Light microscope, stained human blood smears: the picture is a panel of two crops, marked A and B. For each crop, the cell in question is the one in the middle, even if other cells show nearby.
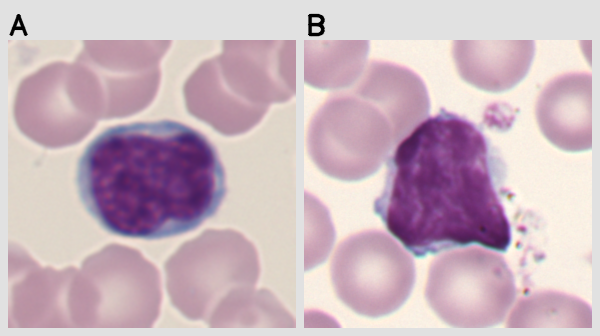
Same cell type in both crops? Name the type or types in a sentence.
Yes, both crops in the pair show typical lymphocytes.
